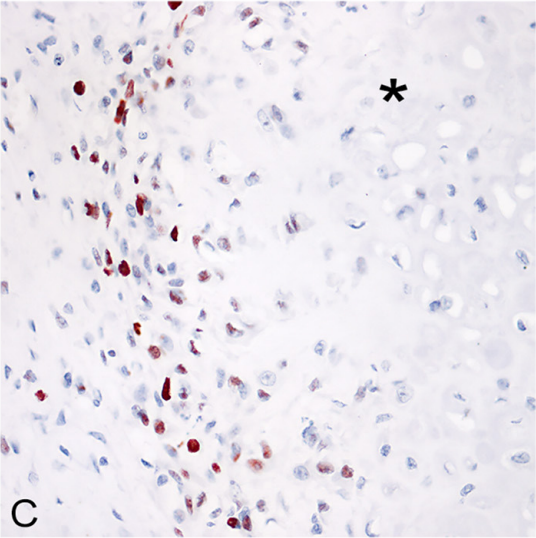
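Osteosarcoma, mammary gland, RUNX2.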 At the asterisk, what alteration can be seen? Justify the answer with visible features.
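Around the asterisk, cells lie sparsely in abundant pale matrix. Some cells sit in clear spaces like lacunae. That points to this answer: chondroblastic differentiation.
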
